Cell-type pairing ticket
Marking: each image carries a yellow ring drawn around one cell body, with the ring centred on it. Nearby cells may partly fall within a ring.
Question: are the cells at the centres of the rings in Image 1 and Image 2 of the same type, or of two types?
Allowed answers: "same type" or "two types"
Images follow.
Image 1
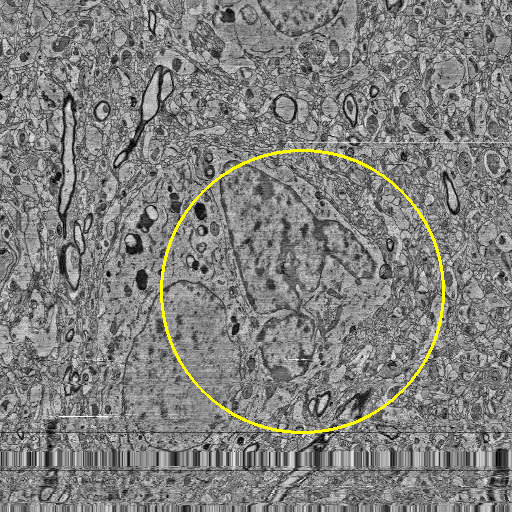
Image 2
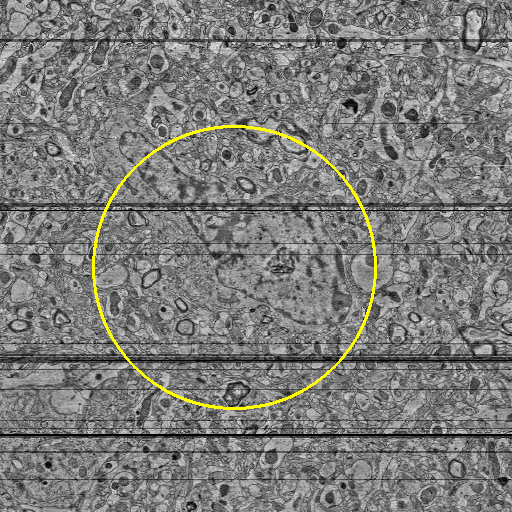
same type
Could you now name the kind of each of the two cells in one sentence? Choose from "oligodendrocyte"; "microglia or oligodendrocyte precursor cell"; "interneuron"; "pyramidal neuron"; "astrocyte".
The cell in the first picture is a microglial cell or oligodendrocyte precursor cell, and so is the one in the second.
